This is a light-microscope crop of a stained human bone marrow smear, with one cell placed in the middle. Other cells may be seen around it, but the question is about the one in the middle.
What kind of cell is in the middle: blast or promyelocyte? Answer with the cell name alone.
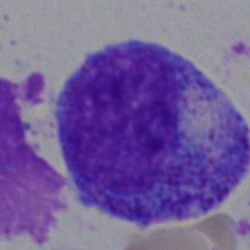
promyelocyte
